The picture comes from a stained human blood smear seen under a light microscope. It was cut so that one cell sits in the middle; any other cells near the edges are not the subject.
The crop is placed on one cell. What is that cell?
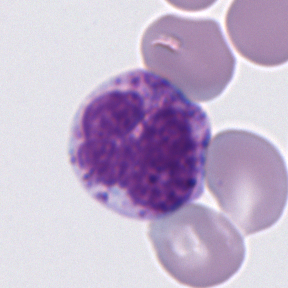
basophil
